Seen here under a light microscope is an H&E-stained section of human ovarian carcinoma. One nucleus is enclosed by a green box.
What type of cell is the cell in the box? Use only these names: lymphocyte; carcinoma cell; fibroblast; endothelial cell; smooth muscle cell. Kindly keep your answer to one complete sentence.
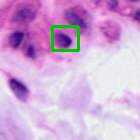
In this tissue section, the cell in the box is to be classed as a smooth muscle cell.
